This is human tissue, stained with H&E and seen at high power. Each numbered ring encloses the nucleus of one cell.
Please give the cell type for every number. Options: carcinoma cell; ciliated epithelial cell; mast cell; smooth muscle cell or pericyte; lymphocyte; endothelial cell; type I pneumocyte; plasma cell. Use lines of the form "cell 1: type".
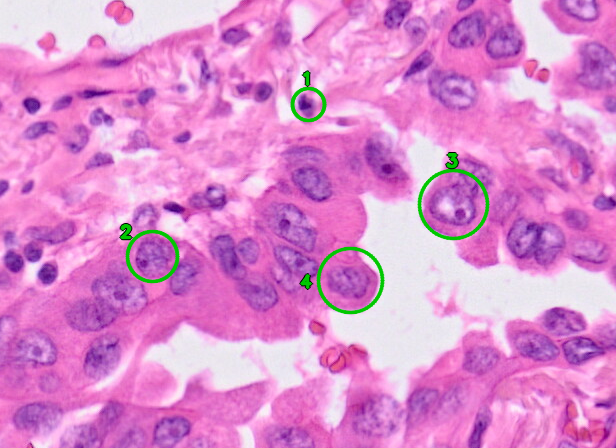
cell 1: lymphocyte
cell 2: carcinoma cell
cell 3: carcinoma cell
cell 4: carcinoma cell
